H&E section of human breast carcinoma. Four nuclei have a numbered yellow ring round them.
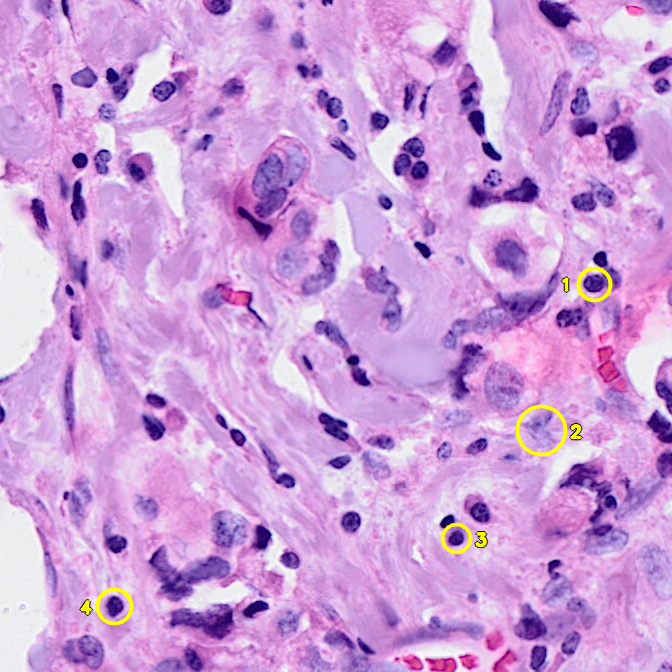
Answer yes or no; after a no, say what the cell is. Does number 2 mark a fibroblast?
Yes.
